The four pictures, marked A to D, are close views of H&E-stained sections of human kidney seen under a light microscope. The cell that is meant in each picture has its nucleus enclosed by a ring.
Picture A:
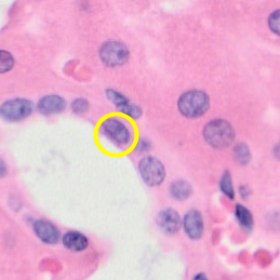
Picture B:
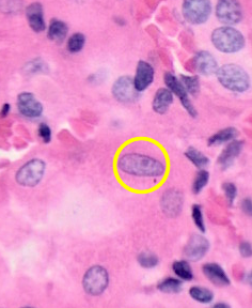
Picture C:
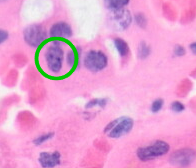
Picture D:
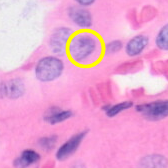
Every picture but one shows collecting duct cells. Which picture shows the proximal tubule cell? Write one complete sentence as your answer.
The cell in picture B is the proximal tubule cell.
